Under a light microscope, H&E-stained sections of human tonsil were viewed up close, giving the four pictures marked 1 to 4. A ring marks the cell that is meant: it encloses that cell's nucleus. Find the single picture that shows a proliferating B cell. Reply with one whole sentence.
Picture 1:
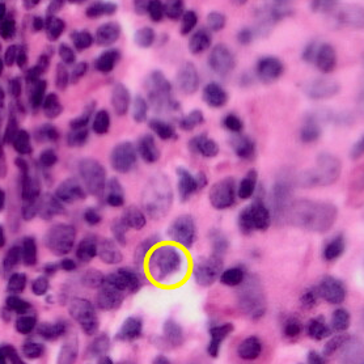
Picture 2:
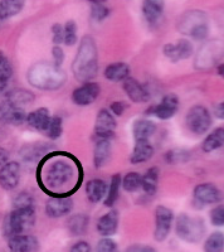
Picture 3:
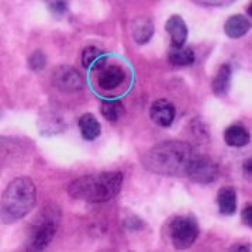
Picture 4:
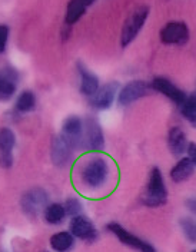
The picture with the proliferating B cell is 1.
